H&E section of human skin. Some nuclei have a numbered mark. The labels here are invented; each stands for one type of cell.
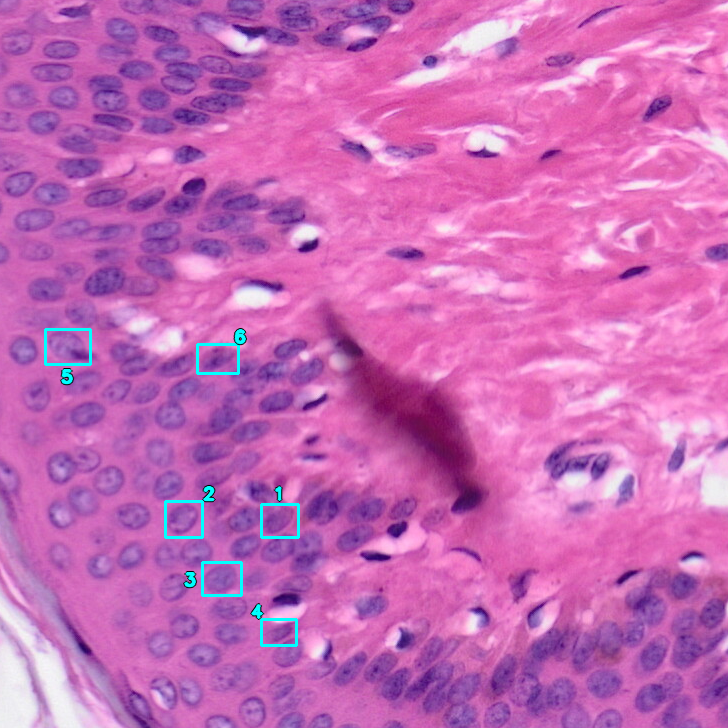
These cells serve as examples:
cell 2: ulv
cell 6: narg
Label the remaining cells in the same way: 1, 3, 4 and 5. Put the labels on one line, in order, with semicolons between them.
narg; ulv; narg; ulv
